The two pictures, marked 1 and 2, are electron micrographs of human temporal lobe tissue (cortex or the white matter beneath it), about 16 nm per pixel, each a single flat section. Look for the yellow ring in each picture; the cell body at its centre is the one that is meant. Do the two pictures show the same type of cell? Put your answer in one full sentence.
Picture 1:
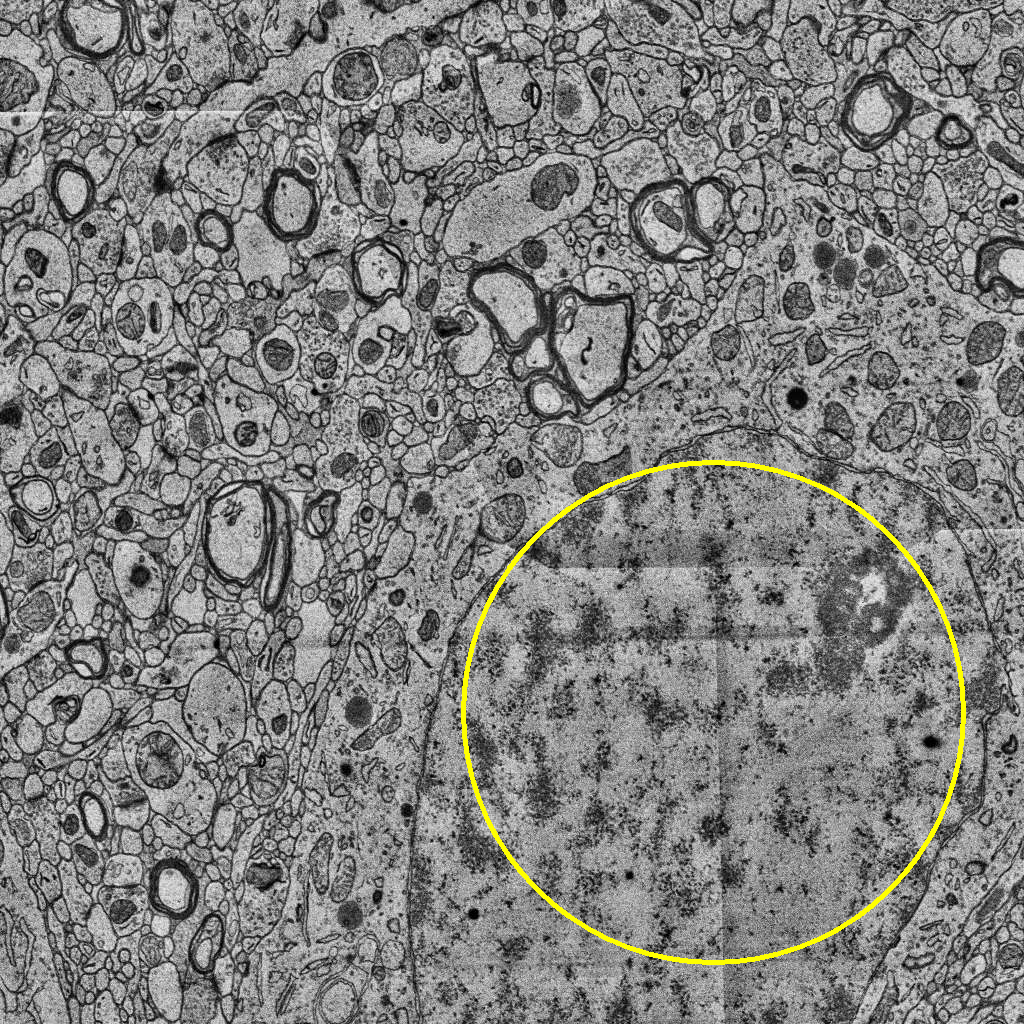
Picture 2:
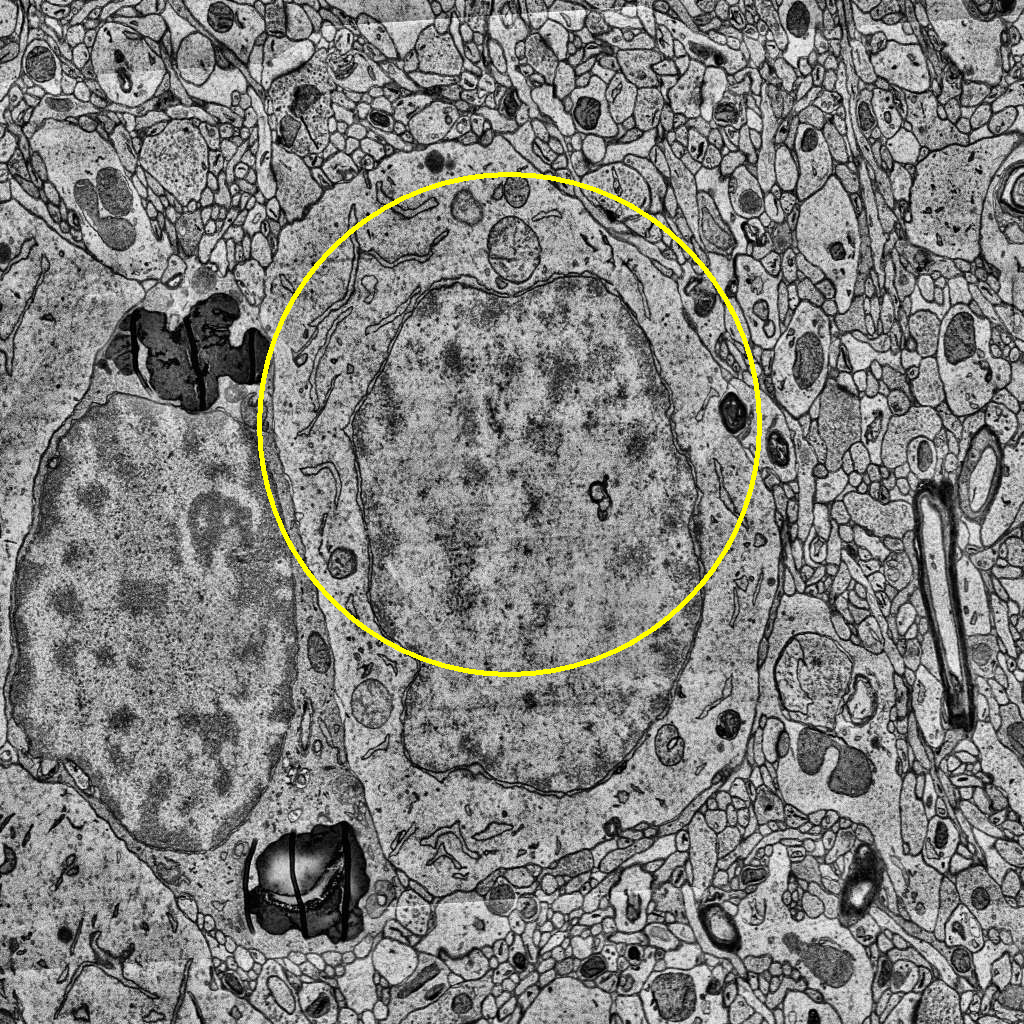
Yes, both are interneurons.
